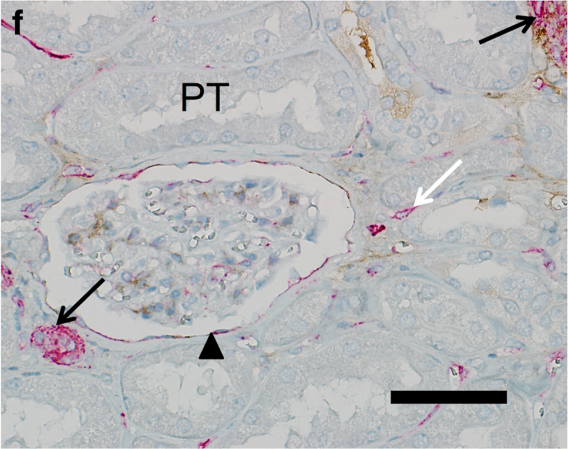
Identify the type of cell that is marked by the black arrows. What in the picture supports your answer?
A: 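The black arrows point to small round vessel cross-sections with a thick wall. The wall cells of these vessels are stained red in a ring.
Hence: smooth muscle cells of the arterial media.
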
